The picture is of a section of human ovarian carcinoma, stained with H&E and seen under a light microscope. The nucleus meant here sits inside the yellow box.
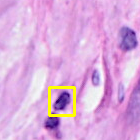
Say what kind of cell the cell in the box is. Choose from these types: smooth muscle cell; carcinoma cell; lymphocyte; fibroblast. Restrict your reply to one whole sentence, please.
At the level of cell identity, the cell in the box is a lymphocyte.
